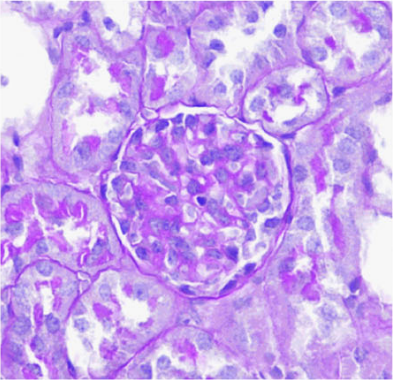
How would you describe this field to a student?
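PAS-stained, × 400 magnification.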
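A round glomerulus sits in the renal cortex, enclosed by a thin magenta capsule and surrounded by tubules with pale pink cytoplasm and blue nuclei. Tubular basement membranes also stain magenta around each tubule.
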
